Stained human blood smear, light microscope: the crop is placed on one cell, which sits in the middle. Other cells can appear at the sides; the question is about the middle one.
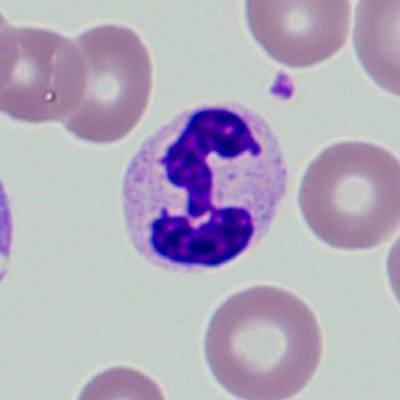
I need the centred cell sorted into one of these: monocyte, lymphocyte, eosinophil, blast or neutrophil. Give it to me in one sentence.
At the middle of the frame sits a neutrophil.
